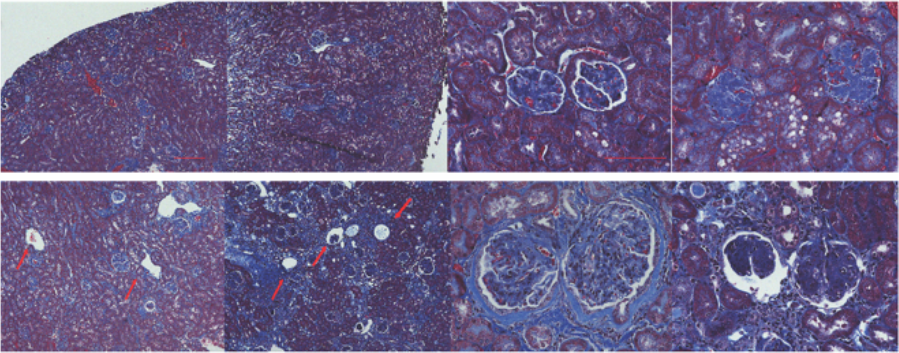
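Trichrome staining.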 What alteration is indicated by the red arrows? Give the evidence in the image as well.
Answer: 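Round clear spaces in the kidney cortex at the arrow tips. Some clear spaces hold a small shrunken tuft at one side. So: glomerular cysts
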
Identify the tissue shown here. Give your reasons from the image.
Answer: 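Round glomeruli surrounded by Bowman's capsules. Densely packed tubules between glomeruli. That points to this answer: kidney.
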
